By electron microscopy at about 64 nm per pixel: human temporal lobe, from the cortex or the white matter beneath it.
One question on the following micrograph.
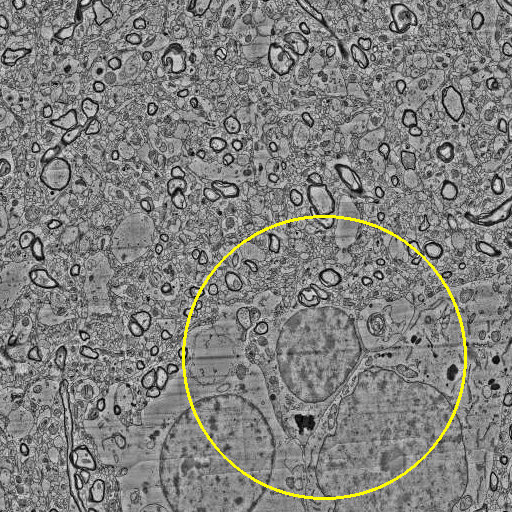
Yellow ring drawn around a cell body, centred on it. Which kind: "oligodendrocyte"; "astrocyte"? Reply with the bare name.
oligodendrocyte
